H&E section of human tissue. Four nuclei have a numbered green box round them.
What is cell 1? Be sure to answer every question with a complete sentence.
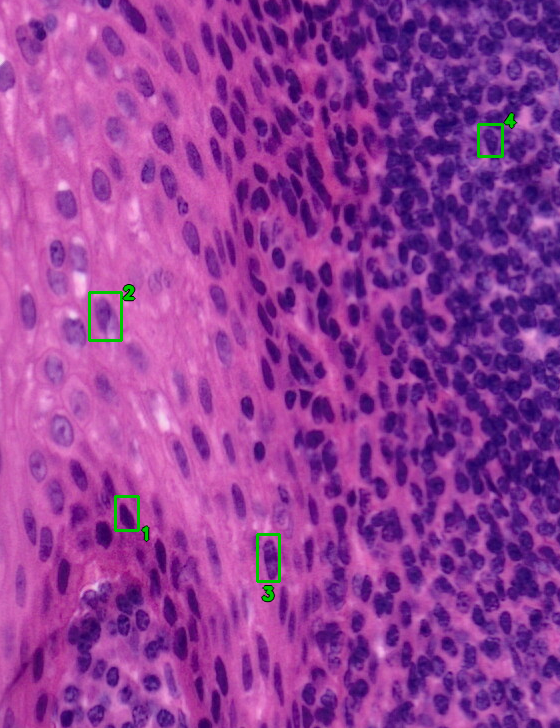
Of the numbered cells, the one labelled 1 is a squamous epithelial cell.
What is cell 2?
The marked cell bearing number 2 is a squamous epithelial cell.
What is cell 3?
The cell that bears the number 3 is a squamous epithelial cell.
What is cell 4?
Of the numbered cells, the one labelled 4 is a small lymphocyte.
